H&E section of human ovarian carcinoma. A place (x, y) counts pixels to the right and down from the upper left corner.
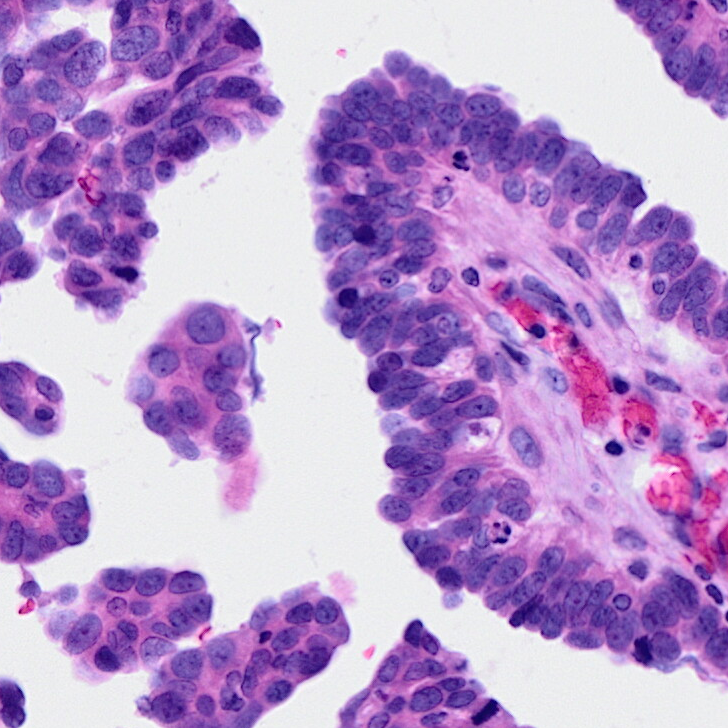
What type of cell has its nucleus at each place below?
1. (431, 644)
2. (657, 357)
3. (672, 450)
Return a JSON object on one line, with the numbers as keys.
{"1": "carcinoma cell", "2": "fibroblast", "3": "endothelial cell"}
